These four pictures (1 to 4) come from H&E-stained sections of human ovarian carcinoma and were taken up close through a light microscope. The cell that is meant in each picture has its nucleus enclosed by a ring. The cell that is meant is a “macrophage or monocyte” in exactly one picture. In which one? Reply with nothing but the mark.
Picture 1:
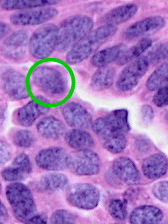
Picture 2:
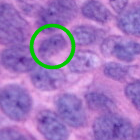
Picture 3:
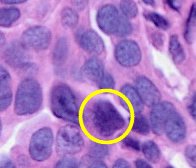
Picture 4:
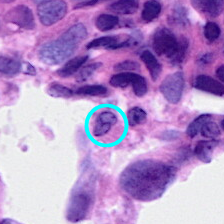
4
